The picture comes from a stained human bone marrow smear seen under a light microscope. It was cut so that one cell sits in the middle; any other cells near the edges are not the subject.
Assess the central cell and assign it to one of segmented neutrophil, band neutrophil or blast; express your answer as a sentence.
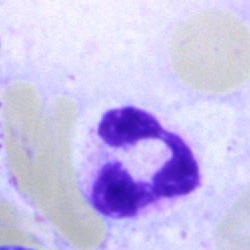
Regarding the central cell, it is a segmented neutrophil.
